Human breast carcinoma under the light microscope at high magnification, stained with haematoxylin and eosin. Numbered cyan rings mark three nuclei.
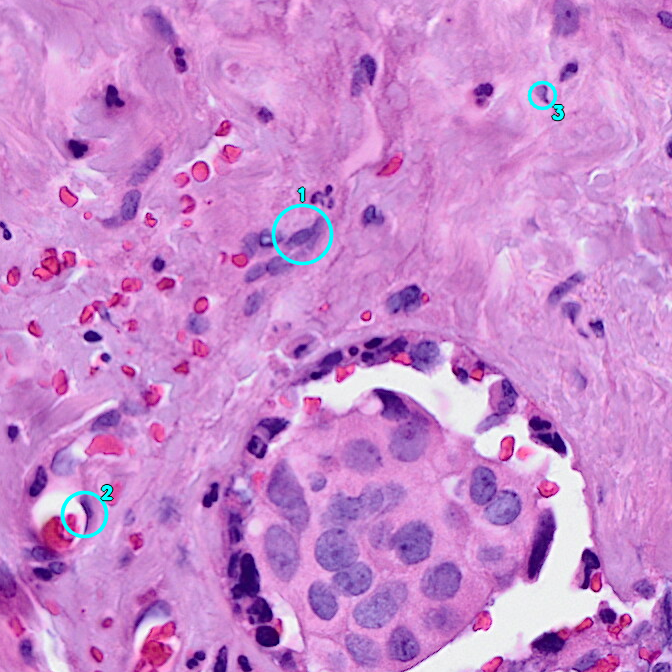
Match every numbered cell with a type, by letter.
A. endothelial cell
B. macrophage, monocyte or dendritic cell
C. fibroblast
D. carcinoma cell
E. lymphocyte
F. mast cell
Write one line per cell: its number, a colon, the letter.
1: C
2: A
3: C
